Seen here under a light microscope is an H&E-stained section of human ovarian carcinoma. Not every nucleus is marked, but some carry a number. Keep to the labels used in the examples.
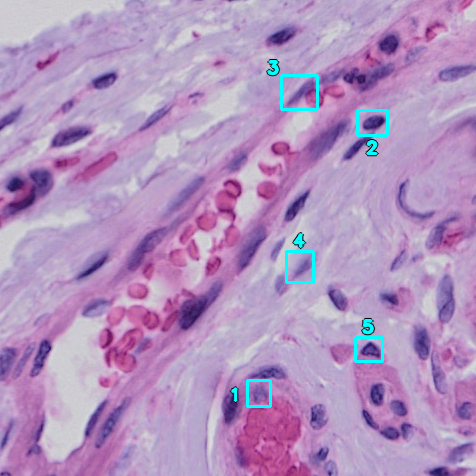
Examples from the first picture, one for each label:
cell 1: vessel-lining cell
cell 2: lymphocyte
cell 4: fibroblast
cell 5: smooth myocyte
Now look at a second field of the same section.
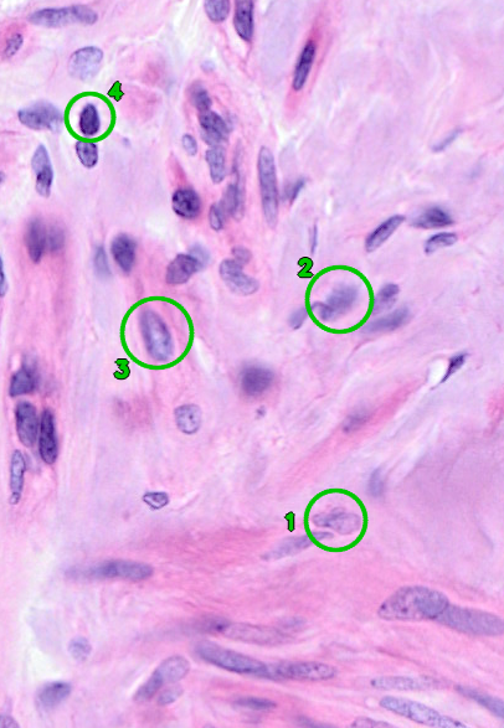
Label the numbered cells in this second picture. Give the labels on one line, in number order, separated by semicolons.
smooth myocyte; fibroblast; vessel-lining cell; lymphocyte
